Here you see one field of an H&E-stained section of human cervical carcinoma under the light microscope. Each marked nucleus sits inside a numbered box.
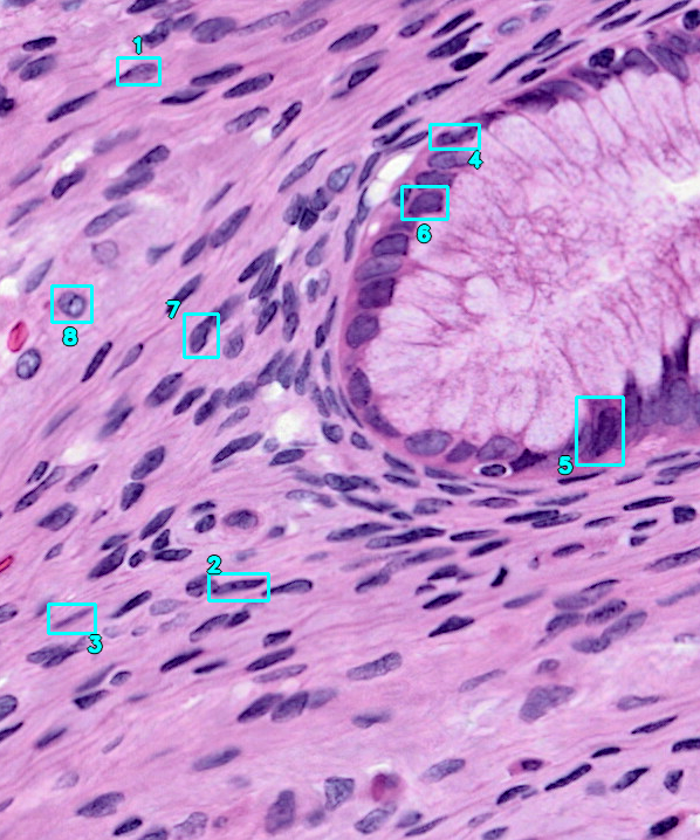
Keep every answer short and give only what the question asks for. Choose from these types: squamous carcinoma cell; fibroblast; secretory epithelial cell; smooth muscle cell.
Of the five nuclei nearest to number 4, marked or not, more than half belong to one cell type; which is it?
secretory epithelial cell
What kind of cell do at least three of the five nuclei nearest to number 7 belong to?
fibroblast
